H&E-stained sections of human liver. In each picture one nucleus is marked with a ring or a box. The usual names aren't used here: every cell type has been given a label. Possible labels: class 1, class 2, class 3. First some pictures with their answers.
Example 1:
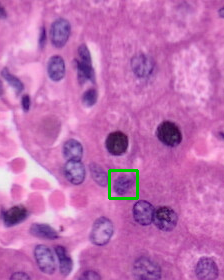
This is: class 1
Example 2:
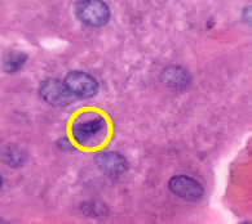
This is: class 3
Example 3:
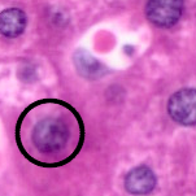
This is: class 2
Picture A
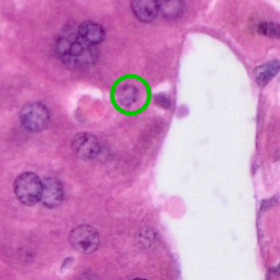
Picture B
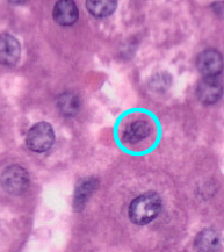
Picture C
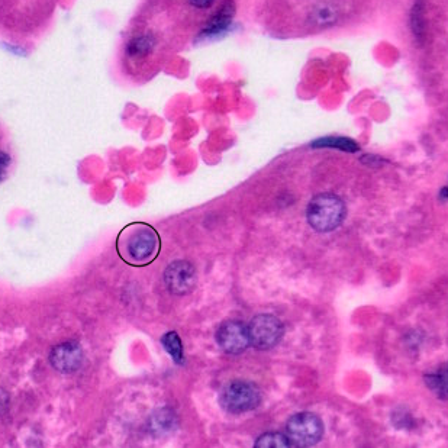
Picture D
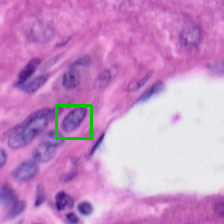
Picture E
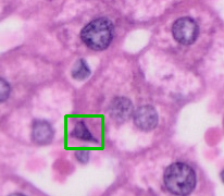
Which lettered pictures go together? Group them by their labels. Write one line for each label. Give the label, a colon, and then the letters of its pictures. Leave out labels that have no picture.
class 1: A, C, D
class 3: B, E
